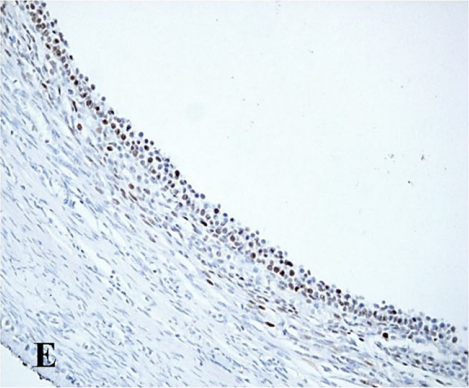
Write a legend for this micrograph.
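This is the wall of a follicular cyst, with a large empty lumen lined by a band of several layers of small, closely packed cells with round nuclei. Many of these lining nuclei are stained brown, whereas the underlying loose stroma of spindle-shaped cells has mostly blue nuclei.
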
